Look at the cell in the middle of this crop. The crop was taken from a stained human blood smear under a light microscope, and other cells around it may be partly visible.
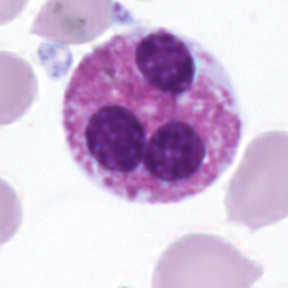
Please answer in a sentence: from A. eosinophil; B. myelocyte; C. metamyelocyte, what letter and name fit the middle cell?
Option A is the correct selection, for the cell at the centre is an eosinophil.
